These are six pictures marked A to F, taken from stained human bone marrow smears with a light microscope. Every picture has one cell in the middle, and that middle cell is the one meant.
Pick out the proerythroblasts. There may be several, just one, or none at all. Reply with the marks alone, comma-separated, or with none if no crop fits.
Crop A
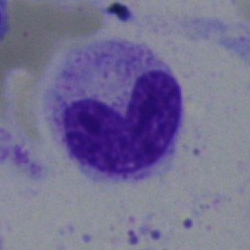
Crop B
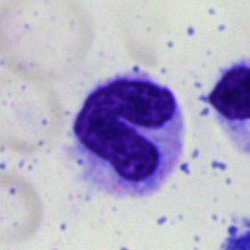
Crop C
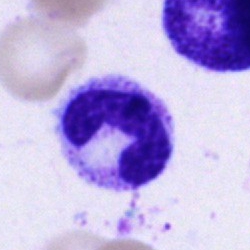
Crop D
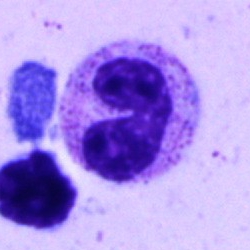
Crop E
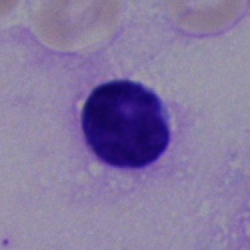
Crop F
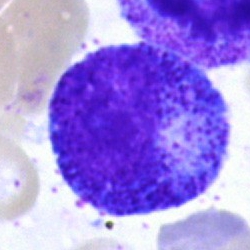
none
